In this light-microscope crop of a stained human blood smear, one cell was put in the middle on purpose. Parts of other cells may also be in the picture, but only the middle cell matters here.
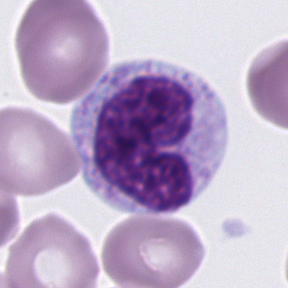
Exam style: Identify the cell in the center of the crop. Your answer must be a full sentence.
The centrally located cell in the crop is a band neutrophil.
